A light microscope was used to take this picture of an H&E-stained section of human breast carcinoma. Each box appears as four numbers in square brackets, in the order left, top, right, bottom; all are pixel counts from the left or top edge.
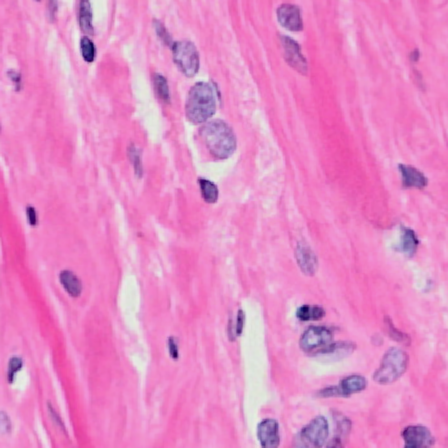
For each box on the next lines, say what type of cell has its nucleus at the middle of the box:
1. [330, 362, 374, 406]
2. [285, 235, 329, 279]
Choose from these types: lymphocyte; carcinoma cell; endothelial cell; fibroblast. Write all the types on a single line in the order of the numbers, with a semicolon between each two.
endothelial cell; fibroblast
